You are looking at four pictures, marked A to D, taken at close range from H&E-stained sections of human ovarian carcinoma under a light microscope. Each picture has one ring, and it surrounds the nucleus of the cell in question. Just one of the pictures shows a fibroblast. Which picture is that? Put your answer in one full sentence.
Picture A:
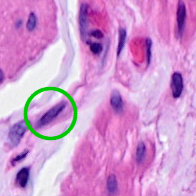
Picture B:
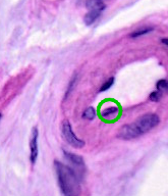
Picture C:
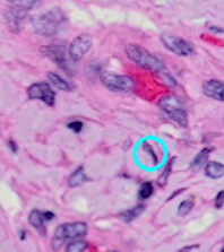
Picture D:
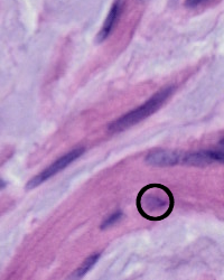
Picture C is the one that shows the fibroblast.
